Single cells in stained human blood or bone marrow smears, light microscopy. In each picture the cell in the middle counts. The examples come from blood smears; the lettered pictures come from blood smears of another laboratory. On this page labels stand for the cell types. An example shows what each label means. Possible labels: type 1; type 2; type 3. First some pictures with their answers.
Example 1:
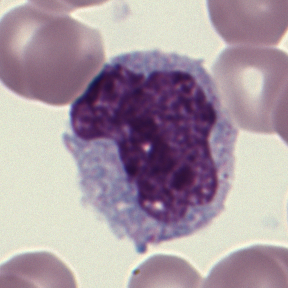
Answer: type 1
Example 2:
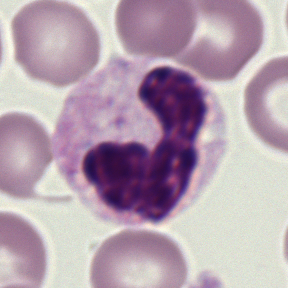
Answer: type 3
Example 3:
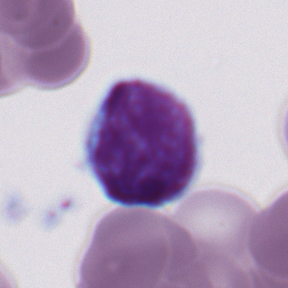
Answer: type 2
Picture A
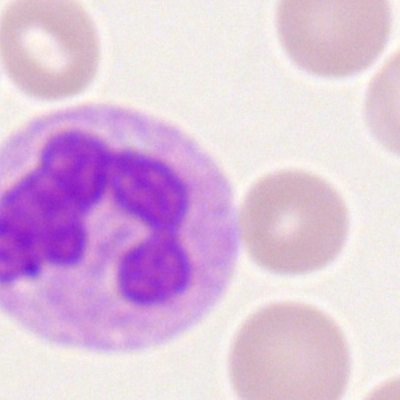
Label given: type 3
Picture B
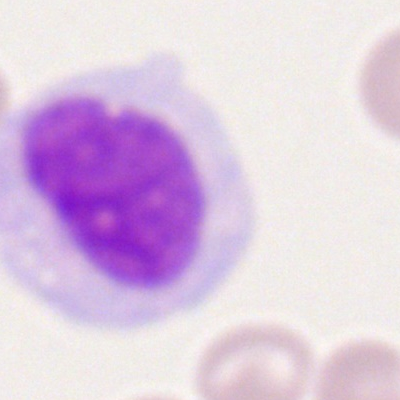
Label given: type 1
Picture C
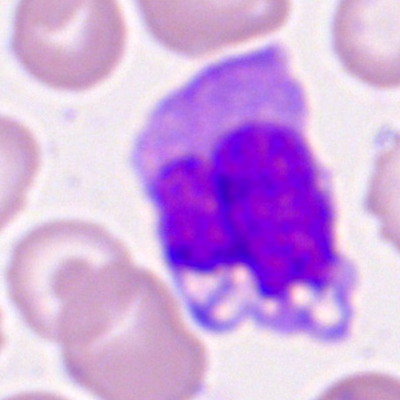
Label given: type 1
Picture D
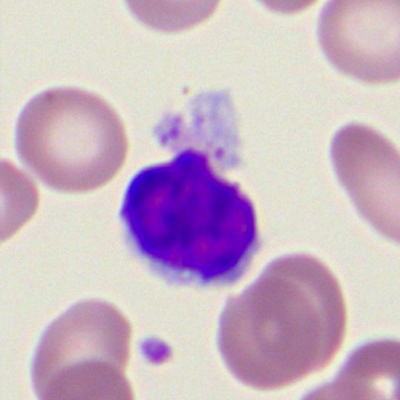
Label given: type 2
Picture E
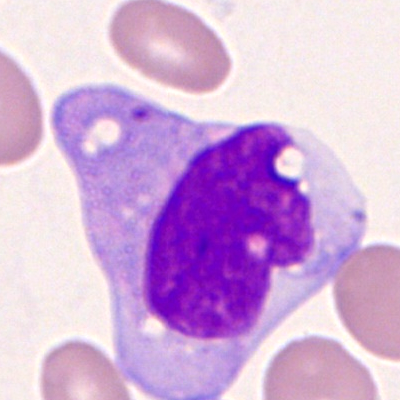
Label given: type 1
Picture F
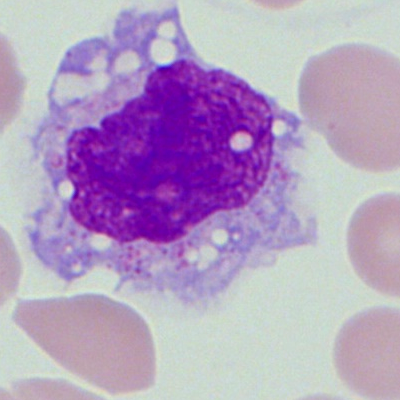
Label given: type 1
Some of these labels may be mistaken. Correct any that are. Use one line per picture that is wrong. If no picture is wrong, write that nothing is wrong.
None of the labels needs changing.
